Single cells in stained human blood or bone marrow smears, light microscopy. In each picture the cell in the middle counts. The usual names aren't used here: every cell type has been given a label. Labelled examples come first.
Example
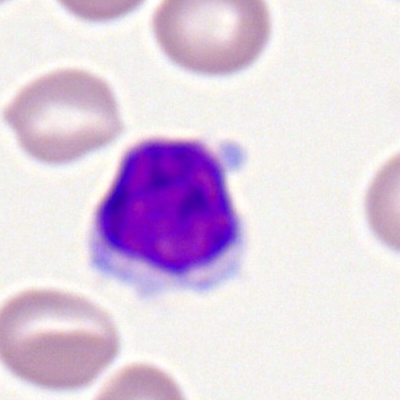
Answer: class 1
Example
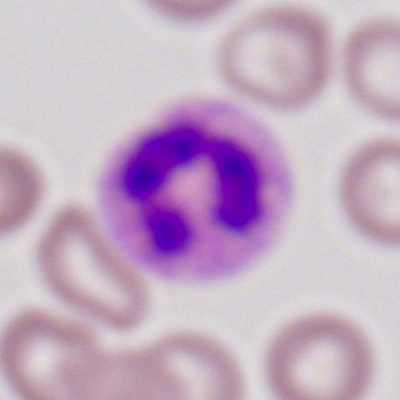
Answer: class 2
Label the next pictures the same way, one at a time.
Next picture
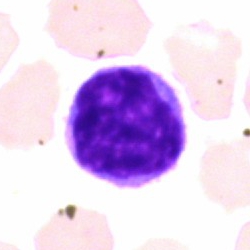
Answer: class 1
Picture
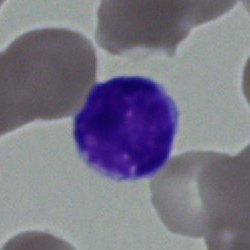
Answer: class 1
